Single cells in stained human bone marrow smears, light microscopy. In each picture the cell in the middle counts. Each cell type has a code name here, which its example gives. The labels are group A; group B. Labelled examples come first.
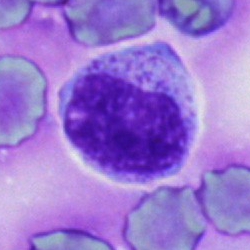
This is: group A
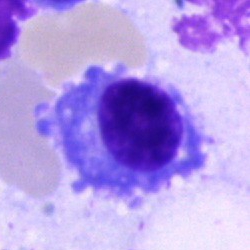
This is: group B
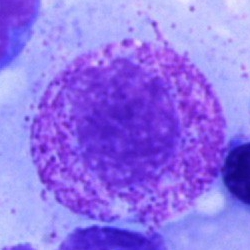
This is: group A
